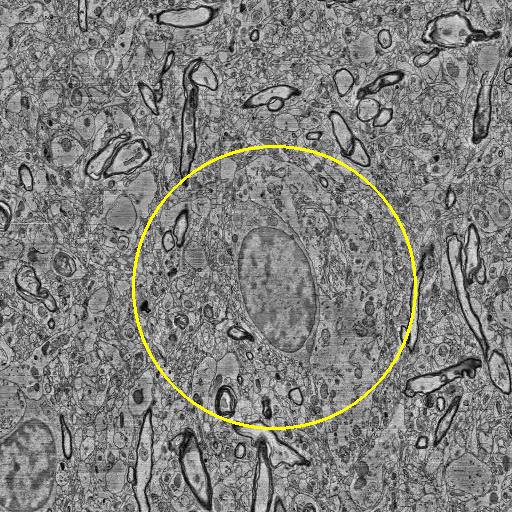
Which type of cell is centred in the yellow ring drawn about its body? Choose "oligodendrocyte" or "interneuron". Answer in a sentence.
The yellow ring surrounds the cell body of an oligodendrocyte.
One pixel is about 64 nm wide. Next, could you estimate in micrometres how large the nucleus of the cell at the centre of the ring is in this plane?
About 8 by 5 micrometers; the nucleus is clearly longer than it is wide in this plane.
